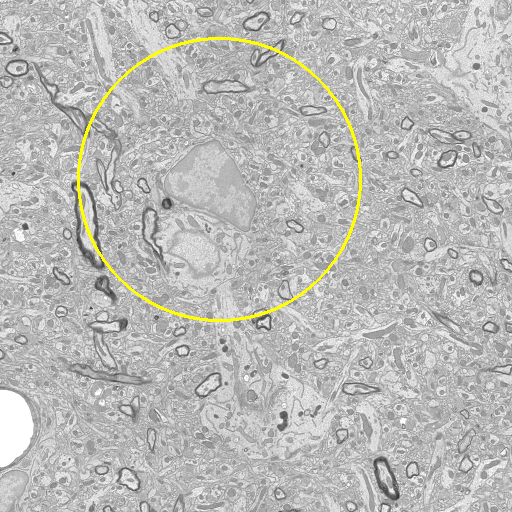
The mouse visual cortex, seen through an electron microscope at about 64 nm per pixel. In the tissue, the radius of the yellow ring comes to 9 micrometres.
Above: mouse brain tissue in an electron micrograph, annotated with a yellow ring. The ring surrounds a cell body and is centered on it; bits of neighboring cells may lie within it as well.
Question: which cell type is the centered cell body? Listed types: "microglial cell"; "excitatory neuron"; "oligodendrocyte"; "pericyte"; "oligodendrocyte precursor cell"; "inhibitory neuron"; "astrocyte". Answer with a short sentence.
The centered cell body is a microglial cell.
